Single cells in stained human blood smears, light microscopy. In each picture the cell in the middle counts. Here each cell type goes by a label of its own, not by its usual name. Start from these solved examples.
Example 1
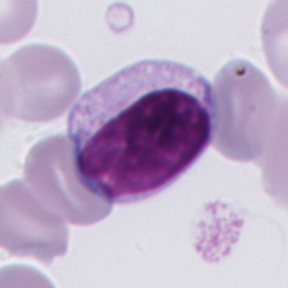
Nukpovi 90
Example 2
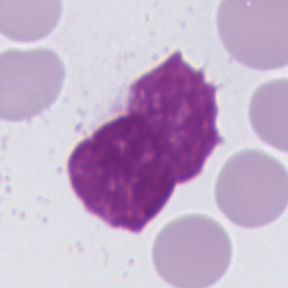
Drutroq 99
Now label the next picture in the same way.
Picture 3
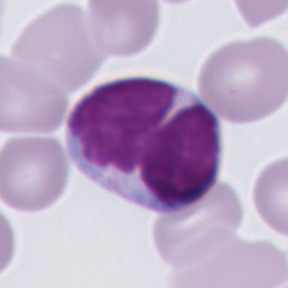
Nukpovi 90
